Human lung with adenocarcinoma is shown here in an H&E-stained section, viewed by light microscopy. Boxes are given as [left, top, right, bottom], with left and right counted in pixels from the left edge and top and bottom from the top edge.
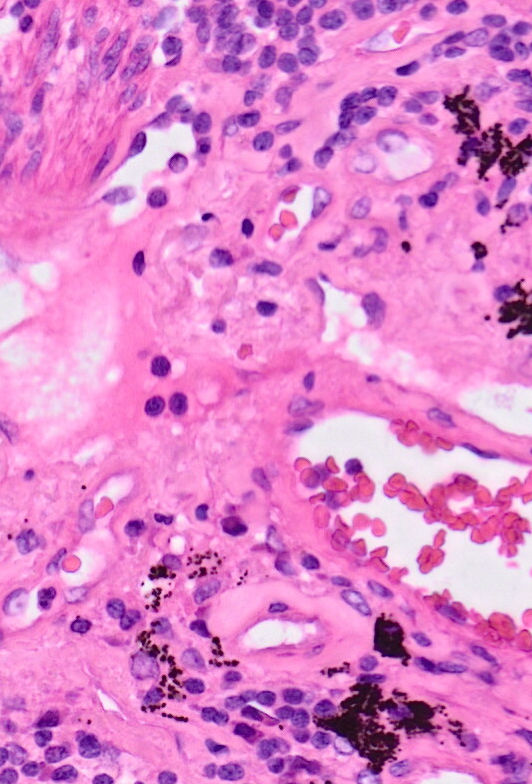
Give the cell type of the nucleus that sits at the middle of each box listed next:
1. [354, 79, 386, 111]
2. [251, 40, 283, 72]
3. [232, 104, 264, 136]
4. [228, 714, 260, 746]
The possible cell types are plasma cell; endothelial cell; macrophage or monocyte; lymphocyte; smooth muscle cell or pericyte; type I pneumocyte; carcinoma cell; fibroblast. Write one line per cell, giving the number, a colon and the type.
1: lymphocyte
2: lymphocyte
3: lymphocyte
4: plasma cell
